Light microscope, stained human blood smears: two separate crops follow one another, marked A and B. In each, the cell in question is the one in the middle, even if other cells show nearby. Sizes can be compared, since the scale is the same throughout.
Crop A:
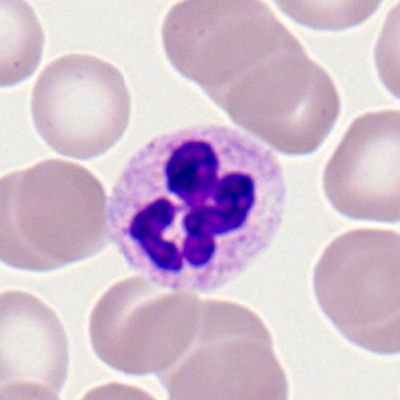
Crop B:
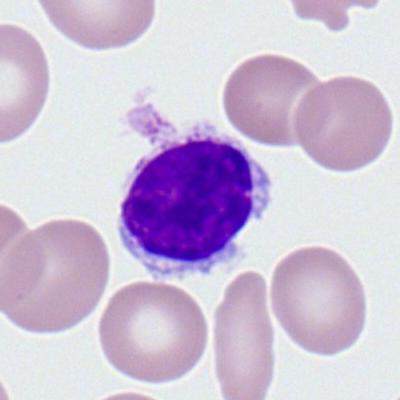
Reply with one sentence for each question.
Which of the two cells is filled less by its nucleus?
It is the cell in crop A that is filled less by its nucleus.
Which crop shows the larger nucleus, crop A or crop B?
Larger is the nucleus in crop B, at roughly 1.5 times the area of the other.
